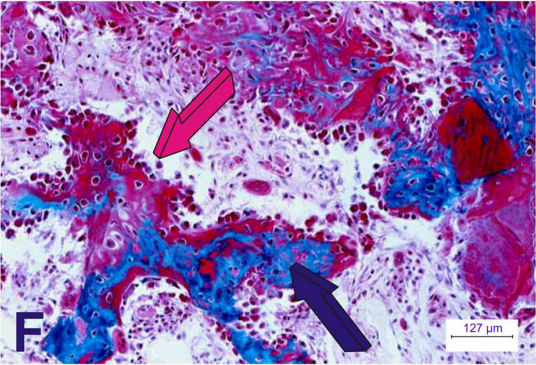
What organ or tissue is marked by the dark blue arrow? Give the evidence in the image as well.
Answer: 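The arrow points to an irregular blue-green stained trabecula. The blue-green area is covered on its surface by red-magenta matrix. That points to this answer: newly formed mineralized bone.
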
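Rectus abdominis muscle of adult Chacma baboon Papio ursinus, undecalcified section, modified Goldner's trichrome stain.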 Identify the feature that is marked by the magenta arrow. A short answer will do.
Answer: Osteoid matrix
